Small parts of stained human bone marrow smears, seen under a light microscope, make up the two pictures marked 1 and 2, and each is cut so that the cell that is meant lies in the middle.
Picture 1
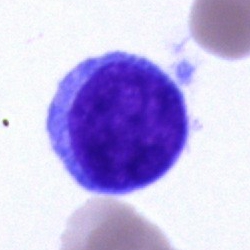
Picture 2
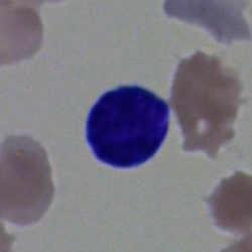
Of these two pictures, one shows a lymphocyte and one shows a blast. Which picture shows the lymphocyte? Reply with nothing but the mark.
2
